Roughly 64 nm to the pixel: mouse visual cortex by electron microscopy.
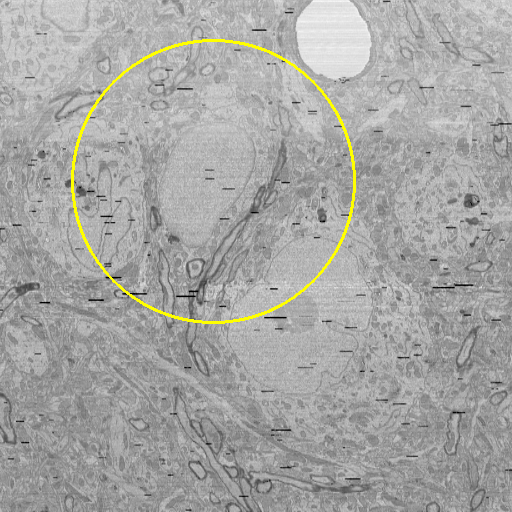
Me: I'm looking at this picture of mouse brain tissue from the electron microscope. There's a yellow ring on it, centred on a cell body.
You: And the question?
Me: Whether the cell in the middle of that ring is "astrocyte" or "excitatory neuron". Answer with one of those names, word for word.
astrocyte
